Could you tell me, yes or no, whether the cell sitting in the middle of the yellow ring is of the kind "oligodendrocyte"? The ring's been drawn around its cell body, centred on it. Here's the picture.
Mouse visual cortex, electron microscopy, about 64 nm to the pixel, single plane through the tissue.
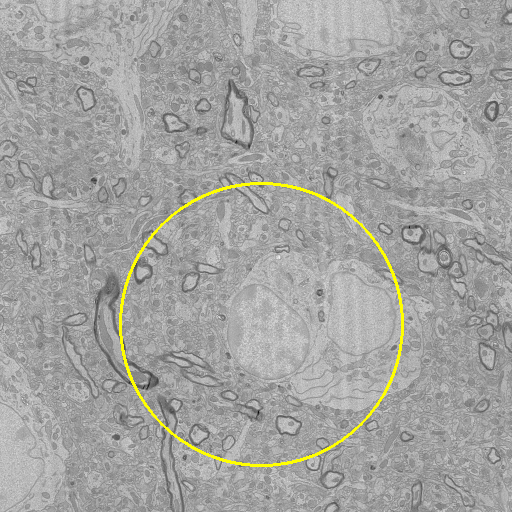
Yes, it is.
